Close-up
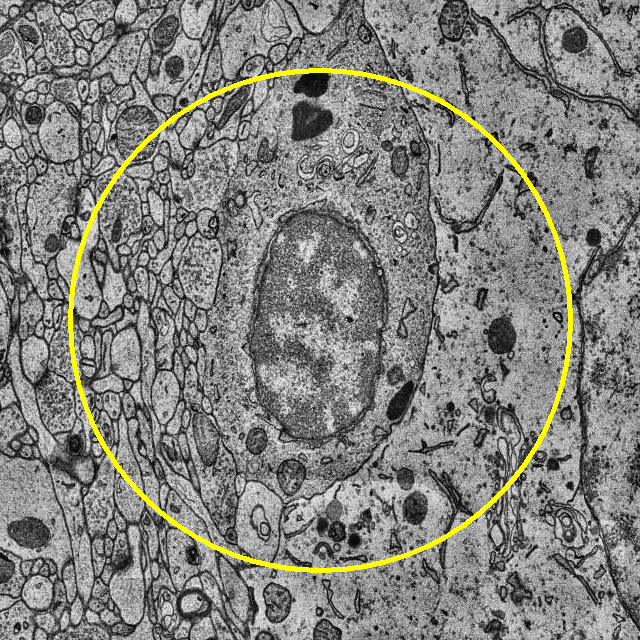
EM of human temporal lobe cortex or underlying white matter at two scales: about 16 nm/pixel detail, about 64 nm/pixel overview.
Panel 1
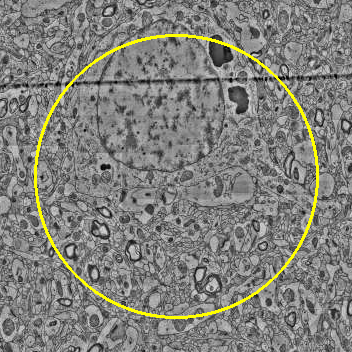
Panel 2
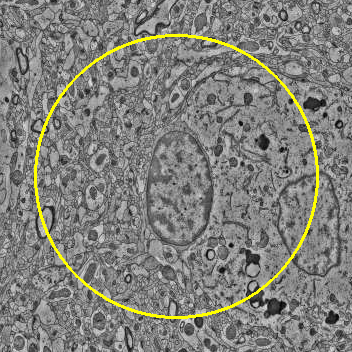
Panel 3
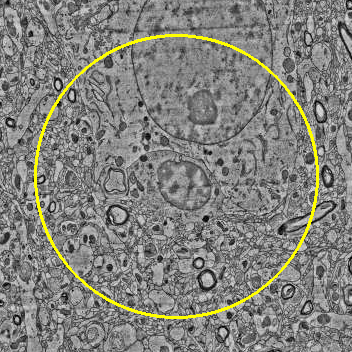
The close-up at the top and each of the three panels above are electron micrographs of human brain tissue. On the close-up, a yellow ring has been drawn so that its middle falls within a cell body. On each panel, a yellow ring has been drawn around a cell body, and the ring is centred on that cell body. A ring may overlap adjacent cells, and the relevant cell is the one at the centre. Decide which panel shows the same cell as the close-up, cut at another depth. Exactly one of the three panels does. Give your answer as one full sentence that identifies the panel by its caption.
The close-up was taken of the cell circled in Panel 2.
